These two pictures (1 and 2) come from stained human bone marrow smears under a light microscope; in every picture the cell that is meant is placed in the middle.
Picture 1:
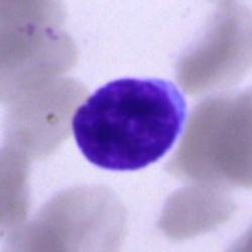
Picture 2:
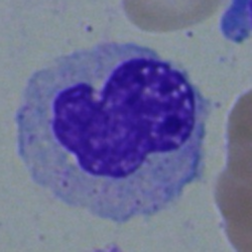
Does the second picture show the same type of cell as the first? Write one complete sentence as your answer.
No, the types are not the same, since picture 1 shows a lymphocyte and picture 2 a monocyte.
